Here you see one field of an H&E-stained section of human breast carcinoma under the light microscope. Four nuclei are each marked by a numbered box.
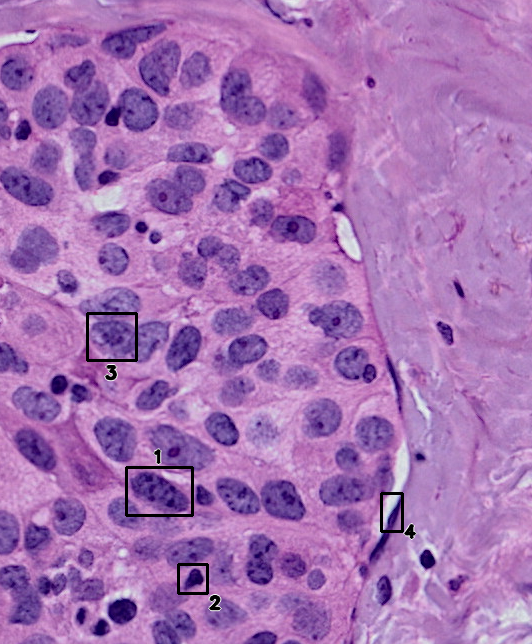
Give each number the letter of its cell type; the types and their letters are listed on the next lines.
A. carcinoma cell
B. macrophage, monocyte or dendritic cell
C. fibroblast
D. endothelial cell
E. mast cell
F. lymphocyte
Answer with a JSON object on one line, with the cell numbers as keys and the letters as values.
{"1": "A", "2": "F", "3": "A", "4": "D"}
